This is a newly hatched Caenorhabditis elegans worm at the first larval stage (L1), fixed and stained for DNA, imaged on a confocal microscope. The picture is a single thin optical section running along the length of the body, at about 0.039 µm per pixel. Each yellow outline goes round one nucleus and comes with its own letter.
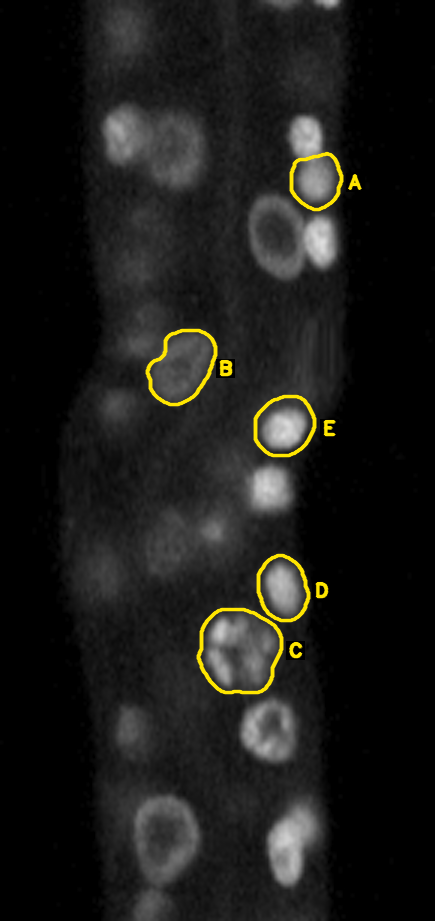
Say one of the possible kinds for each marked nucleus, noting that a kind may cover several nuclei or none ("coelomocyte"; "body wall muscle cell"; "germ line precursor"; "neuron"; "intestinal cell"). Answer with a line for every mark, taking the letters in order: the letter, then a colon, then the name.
A: neuron
B: intestinal cell
C: germ line precursor
D: neuron
E: coelomocyte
